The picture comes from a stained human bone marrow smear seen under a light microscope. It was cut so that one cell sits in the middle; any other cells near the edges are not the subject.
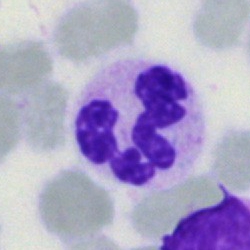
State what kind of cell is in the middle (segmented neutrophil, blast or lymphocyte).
segmented neutrophil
